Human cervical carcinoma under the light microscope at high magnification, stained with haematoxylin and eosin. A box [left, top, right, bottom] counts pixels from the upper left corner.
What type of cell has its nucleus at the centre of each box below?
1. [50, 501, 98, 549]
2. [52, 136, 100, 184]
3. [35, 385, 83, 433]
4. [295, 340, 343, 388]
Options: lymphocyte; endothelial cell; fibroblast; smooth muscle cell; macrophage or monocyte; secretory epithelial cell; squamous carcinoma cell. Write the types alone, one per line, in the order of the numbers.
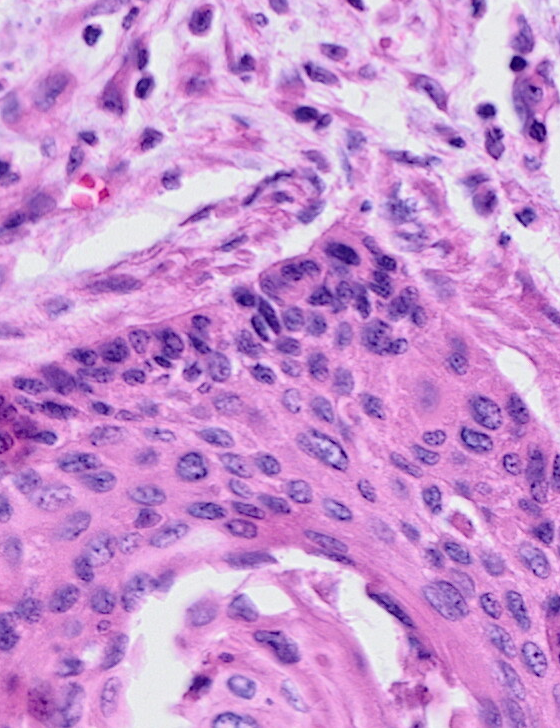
squamous carcinoma cell
endothelial cell
squamous carcinoma cell
squamous carcinoma cell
